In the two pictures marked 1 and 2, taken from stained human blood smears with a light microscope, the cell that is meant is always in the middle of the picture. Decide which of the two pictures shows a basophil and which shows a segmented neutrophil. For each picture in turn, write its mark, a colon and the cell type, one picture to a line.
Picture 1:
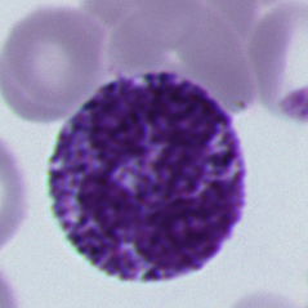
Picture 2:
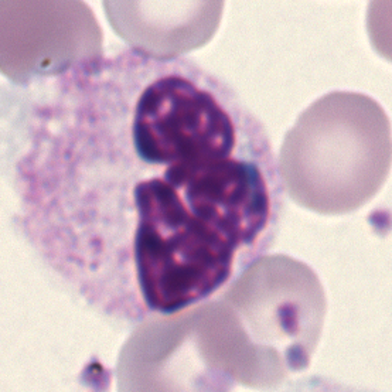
1: basophil
2: segmented neutrophil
